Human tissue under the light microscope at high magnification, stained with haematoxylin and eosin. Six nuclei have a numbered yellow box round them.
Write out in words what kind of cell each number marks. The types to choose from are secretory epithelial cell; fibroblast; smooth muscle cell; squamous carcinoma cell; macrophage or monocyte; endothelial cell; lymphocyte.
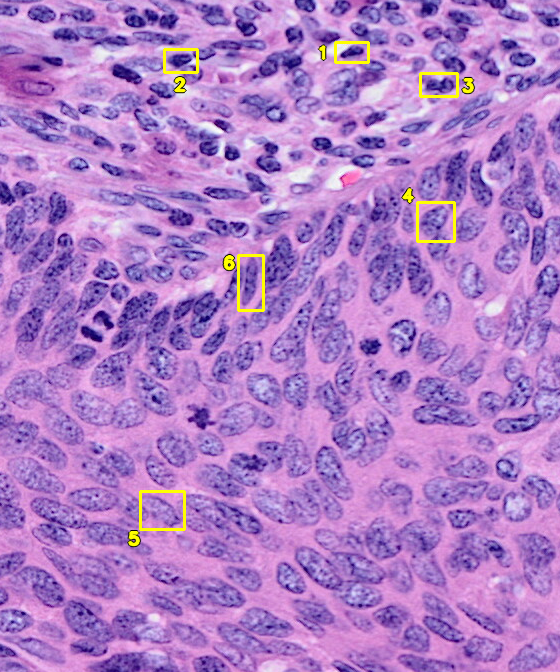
Cells 1, 2 and 3 are lymphocytes. Cells 4, 5 and 6 are squamous carcinoma cells.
